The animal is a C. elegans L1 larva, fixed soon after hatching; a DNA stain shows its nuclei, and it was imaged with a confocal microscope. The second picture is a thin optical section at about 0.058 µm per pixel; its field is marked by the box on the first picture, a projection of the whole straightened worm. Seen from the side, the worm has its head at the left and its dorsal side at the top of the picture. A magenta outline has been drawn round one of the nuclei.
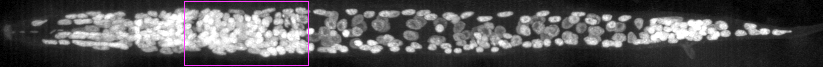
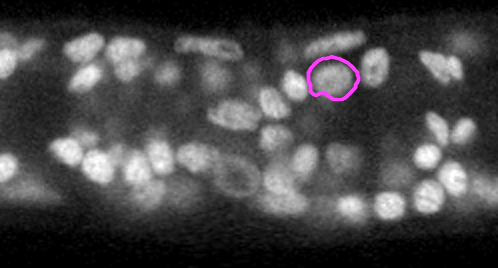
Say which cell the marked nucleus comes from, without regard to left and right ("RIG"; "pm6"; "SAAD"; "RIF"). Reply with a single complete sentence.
It belongs to pm6, a pharyngeal muscle cell.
